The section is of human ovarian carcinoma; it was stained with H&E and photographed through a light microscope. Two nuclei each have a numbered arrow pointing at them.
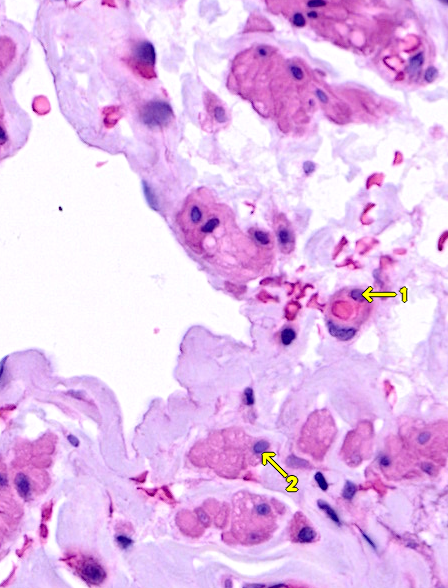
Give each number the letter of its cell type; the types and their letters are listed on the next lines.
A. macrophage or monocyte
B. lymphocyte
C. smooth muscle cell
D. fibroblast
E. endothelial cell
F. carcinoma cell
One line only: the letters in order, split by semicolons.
E; C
